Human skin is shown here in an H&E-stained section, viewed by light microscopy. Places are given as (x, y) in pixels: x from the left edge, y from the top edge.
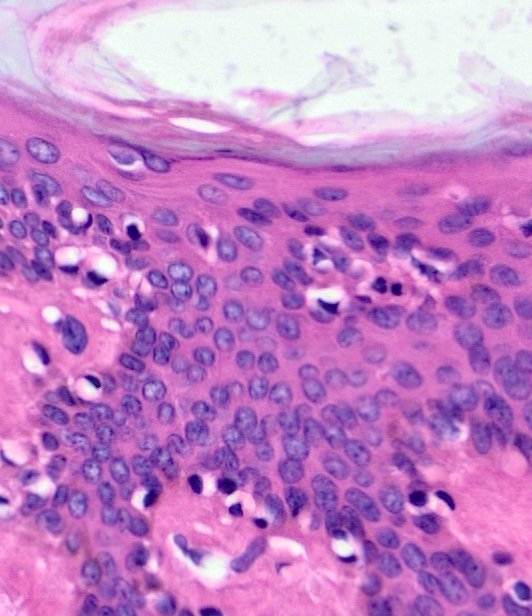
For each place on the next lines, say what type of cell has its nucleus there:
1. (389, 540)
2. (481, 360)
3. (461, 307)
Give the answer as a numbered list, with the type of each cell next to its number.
1. basal keratinocyte
2. suprabasal keratinocyte
3. basal keratinocyte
